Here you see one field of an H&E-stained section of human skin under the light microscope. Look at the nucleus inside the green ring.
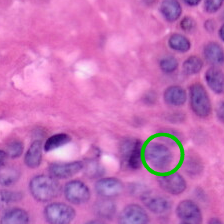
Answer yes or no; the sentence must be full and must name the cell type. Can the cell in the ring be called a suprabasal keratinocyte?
No, the cell in the ring isn't a suprabasal keratinocyte; it is a basal keratinocyte.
